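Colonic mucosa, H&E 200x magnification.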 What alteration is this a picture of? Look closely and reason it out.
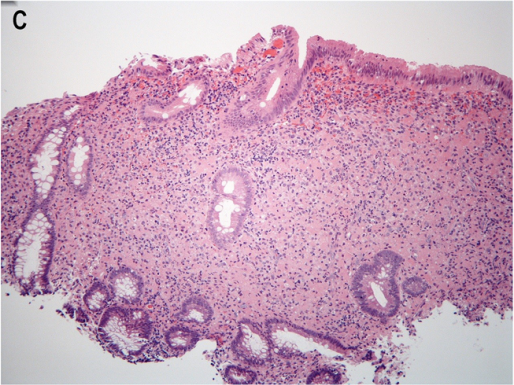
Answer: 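Marked expansion of the lamina propria. A broad band of pale pink cellular tissue fills the space between the surface epithelium and the deep crypts. Only a few crypts are scattered, widely spaced, through the expanded tissue.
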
